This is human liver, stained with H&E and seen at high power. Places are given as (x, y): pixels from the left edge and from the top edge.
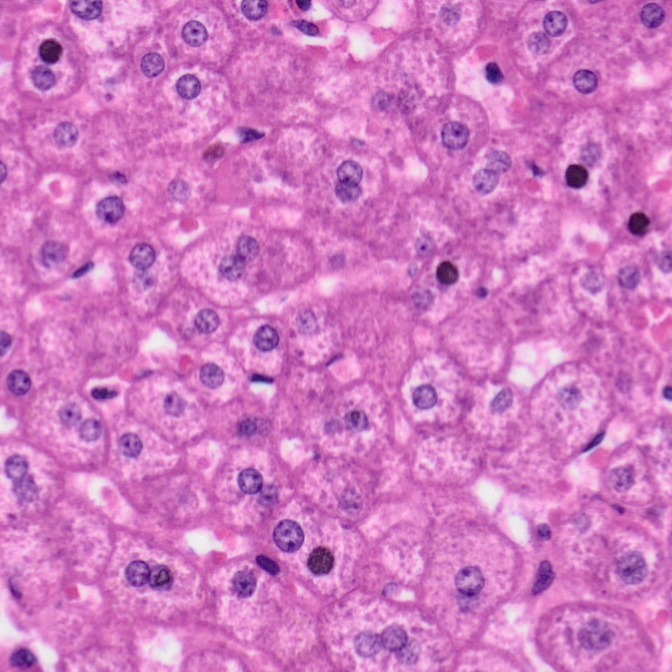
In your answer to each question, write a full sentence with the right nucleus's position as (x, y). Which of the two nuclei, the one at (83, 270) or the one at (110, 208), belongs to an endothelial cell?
Of the two candidate nuclei, the one at (83, 270) is that of an endothelial cell.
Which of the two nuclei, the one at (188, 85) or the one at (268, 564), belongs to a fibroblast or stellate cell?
So, of the two, the nucleus at (268, 564) is the one belonging to a fibroblast or stellate cell.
